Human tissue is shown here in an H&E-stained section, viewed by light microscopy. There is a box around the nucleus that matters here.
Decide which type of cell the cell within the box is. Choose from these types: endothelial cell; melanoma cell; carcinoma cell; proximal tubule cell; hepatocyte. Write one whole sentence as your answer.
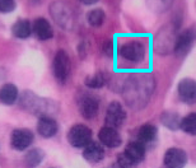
Within the stained tissue, the cell within the box is an endothelial cell.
